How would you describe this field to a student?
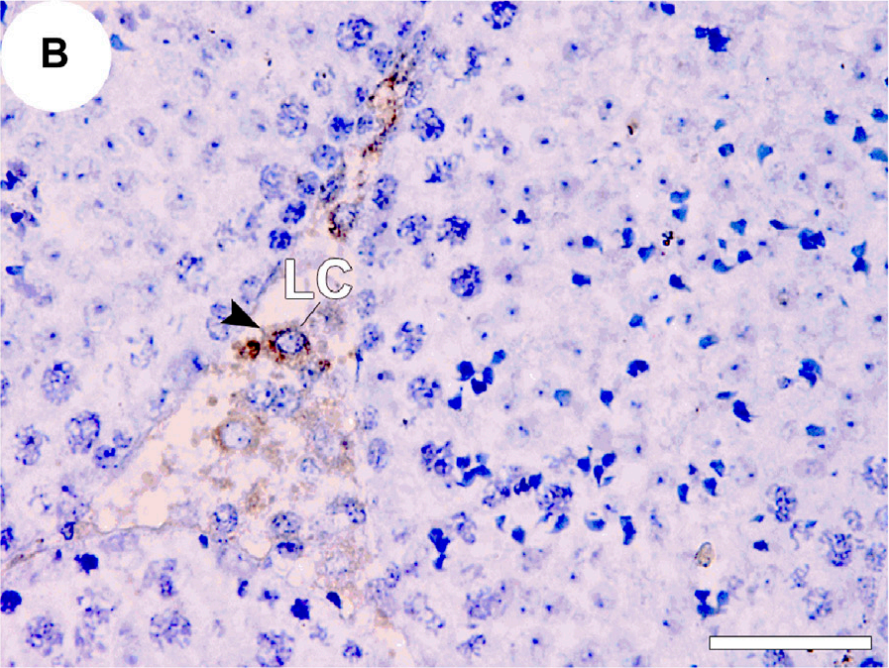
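A narrow interstitial space between seminiferous tubules holds a few Leydig cells, whose staining is weak. Most have only a faint tan cytoplasm around a round pale nucleus, while one cell at the edge of the space carries coarse dark brown granules around its nucleus. A thin line of brown granules runs along the narrow cleft above. The interstitium contains pale, loosely arranged material and empty clear spaces. The adjacent tubules are filled with round blue germ cell nuclei, and toward the right many small, dense, dark blue angular nuclei lie clustered, with pale unstained cytoplasm in between.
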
